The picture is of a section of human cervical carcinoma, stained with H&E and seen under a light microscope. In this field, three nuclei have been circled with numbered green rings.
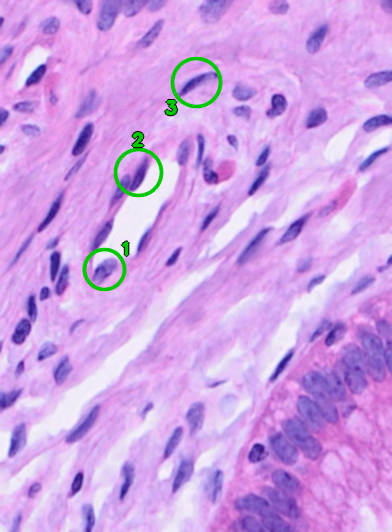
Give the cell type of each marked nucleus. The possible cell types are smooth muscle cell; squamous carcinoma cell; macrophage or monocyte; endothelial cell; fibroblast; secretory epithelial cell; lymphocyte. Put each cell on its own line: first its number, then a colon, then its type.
1: endothelial cell
2: endothelial cell
3: fibroblast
